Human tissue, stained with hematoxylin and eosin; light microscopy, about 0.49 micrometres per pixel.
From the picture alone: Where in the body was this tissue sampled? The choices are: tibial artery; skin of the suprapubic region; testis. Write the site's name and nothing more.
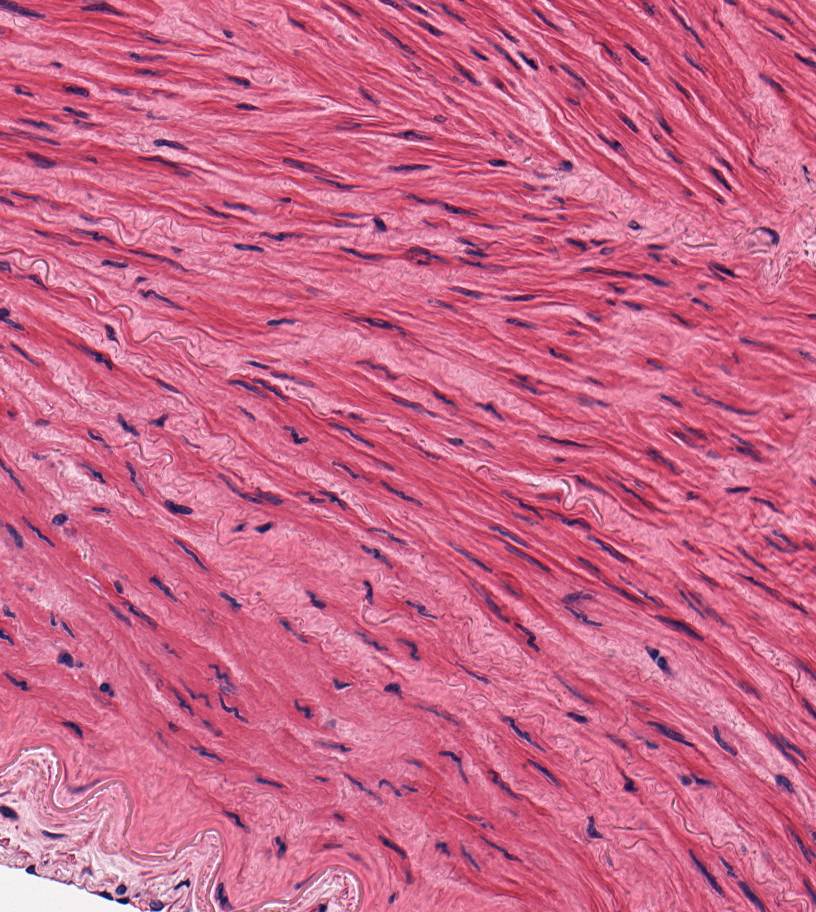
tibial artery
